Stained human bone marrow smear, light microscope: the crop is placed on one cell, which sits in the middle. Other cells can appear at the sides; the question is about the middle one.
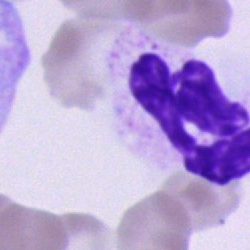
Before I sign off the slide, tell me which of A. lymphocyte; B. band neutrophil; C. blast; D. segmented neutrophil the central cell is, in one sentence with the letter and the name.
Option D is accurate; the centrally placed cell is a segmented neutrophil.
